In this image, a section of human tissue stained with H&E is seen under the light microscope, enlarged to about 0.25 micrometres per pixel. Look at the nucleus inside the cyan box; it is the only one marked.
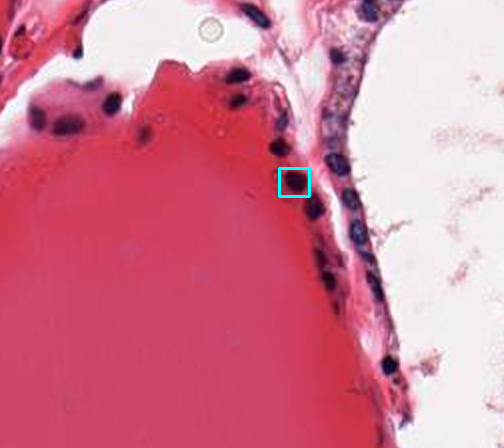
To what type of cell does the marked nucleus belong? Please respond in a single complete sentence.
The mark falls on a nucleus belonging to a thyroid follicular cell.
